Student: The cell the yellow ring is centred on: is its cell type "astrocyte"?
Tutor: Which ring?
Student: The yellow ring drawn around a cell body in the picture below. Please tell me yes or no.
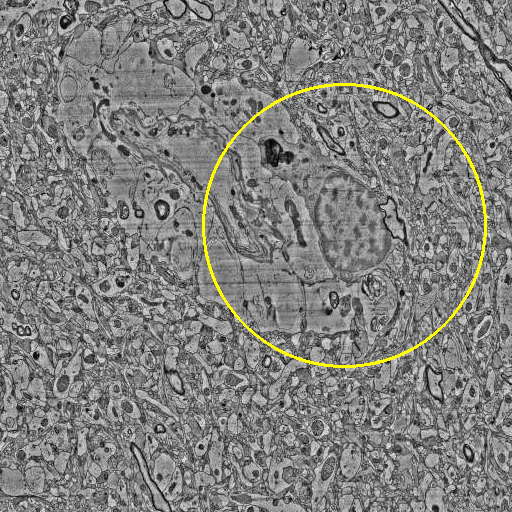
no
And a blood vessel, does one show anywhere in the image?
Yes, a blood vessel is present in this picture.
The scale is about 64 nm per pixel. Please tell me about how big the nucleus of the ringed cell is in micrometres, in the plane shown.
In this plane, the nucleus of the cell at the centre of the ring measures about 7 by 5 micrometres.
